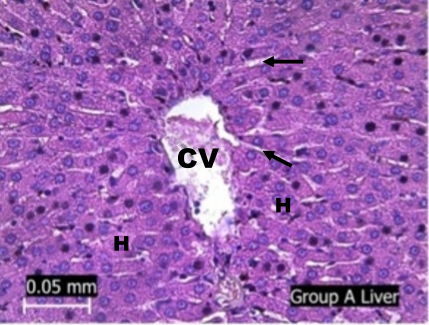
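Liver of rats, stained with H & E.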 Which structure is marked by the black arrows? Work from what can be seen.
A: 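Sinusoids. The arrows point to thin pale spaces between rows of polygonal cells. The rows of cells run toward the central vessel.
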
